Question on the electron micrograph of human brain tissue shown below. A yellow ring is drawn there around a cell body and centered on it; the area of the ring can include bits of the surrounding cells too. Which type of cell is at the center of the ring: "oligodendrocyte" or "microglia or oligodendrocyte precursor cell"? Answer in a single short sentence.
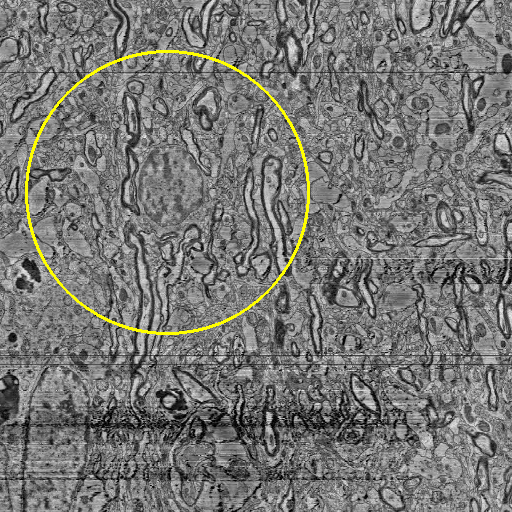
The ring is centered on an oligodendrocyte.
